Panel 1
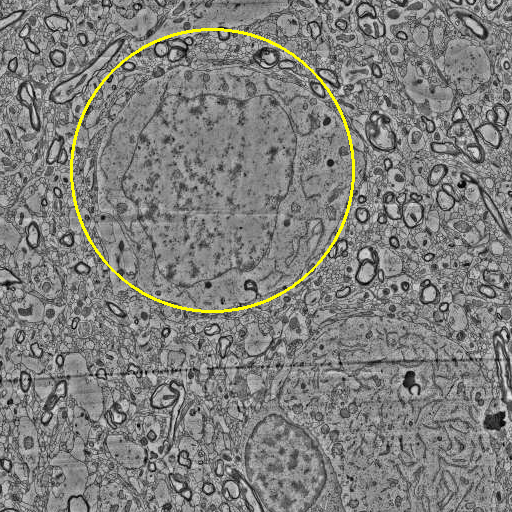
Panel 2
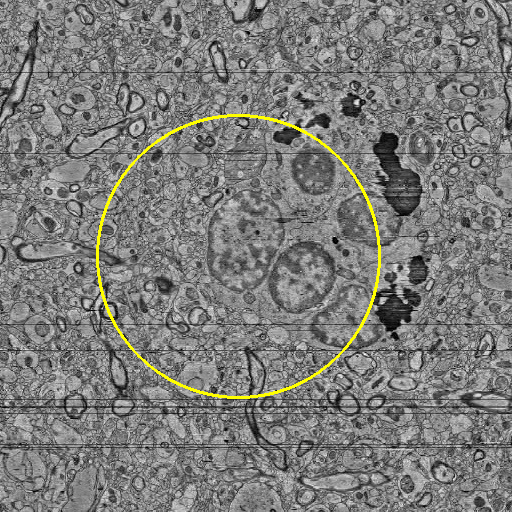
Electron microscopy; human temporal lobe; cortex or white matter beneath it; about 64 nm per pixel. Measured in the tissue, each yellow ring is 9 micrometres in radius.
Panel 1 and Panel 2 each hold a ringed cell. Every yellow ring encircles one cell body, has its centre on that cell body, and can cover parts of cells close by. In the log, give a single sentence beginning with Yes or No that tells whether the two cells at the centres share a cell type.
No, in Panel 1 and Panel 2 the centred cells are of two cell types.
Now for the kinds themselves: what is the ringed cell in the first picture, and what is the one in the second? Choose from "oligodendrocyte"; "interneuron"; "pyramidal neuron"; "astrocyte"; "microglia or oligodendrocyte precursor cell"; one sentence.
Here the first cell is a pyramidal neuron and the second cell is an oligodendrocyte.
